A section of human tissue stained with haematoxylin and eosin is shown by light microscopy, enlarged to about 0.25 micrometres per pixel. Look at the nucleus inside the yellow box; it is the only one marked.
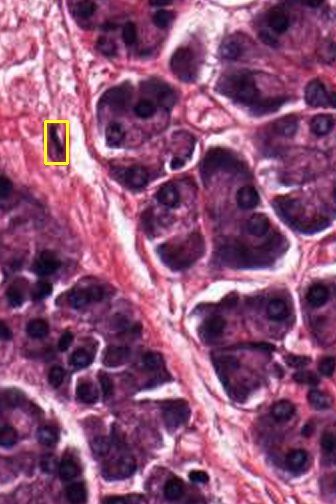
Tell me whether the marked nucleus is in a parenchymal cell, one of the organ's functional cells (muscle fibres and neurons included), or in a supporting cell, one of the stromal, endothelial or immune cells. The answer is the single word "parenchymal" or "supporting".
supporting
